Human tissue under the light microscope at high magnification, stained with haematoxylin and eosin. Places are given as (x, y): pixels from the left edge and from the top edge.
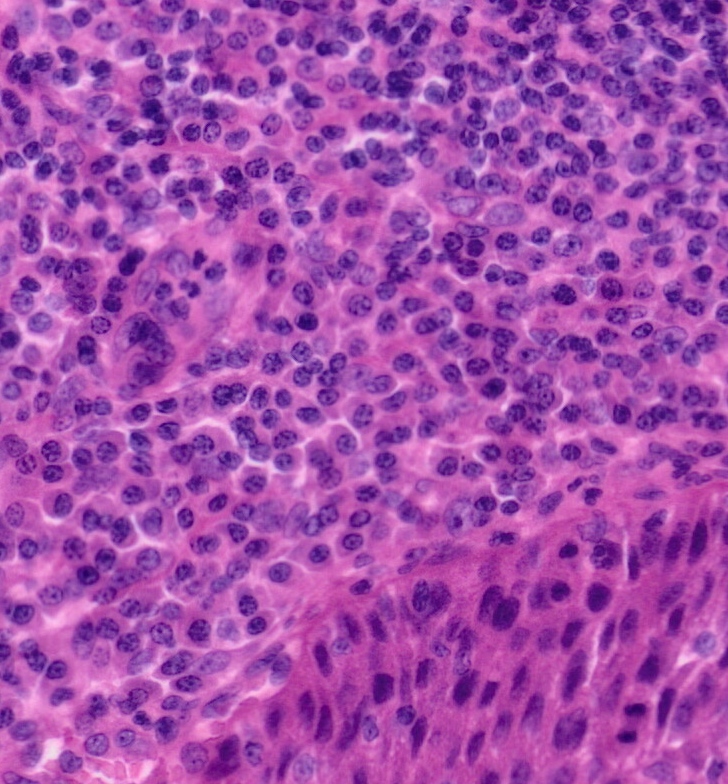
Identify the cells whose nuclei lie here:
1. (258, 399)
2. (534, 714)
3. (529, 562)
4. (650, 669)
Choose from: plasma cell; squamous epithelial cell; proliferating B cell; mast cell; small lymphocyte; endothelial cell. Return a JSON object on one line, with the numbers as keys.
{"1": "plasma cell", "2": "squamous epithelial cell", "3": "squamous epithelial cell", "4": "squamous epithelial cell"}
